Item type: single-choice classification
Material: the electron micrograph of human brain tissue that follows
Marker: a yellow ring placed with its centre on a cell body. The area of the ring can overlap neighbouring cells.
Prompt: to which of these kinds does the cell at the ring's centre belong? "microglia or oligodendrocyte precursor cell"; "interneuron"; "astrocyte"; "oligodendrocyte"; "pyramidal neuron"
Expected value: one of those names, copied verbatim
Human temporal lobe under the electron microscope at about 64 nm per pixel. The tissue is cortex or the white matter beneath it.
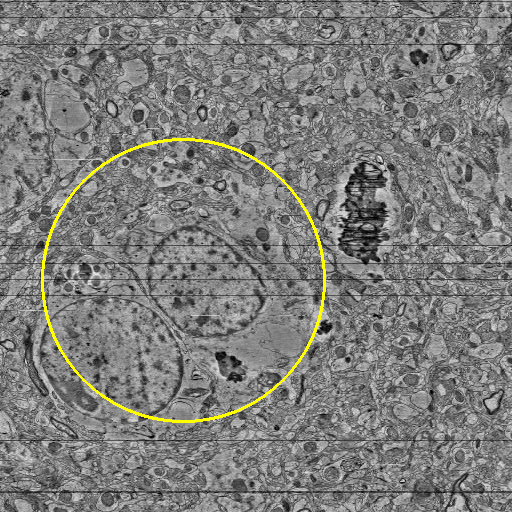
astrocyte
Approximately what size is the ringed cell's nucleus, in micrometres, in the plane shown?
In this plane, roughly 8 by 6 micrometres.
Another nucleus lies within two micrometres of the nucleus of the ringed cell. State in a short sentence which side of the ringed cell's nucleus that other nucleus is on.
The other nucleus is found to the lower left of it.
